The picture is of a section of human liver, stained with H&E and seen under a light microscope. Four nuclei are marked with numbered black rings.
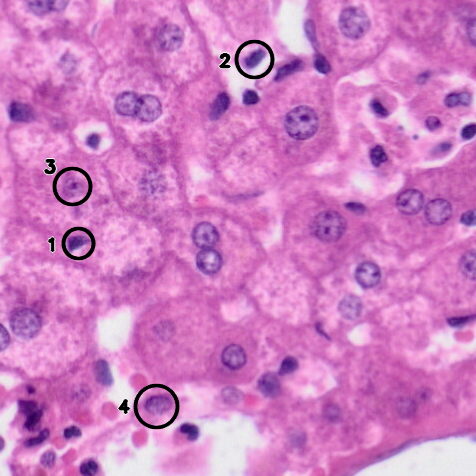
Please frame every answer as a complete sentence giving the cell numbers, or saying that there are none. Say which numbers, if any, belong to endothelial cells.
There is only one numbered cell that is an endothelial cell, and it is cell 1.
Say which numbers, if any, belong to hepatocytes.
Whereas cell 3 is a hepatocyte, the other numbered cells are not.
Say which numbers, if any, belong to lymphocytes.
Only at number 2 is there a lymphocyte.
